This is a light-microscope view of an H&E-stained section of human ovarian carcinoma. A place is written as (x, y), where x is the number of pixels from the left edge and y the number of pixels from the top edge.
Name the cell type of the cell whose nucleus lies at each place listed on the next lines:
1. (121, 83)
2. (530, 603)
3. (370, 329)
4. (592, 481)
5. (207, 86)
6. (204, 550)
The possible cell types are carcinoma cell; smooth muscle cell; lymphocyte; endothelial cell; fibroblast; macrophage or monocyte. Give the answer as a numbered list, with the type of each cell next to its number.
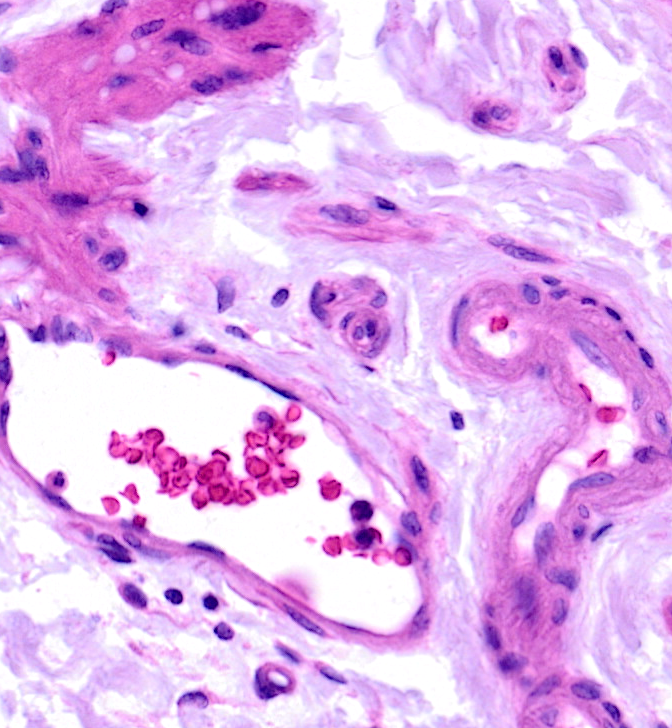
1. smooth muscle cell
2. endothelial cell
3. endothelial cell
4. endothelial cell
5. smooth muscle cell
6. endothelial cell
